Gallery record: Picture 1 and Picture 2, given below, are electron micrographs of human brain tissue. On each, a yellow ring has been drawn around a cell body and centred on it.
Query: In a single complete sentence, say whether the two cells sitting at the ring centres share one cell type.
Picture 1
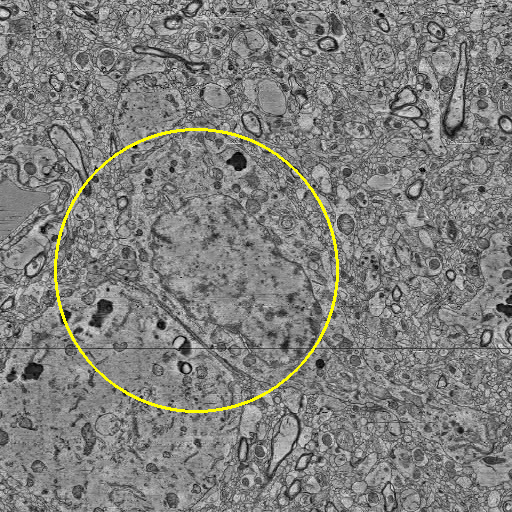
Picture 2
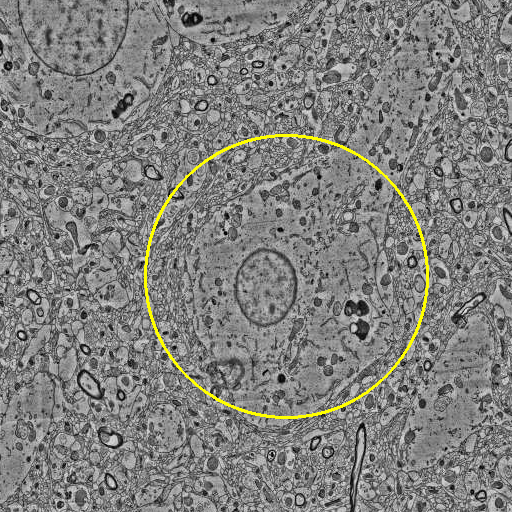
No, in the two pictures the cells at the rings' centres are of two separate types.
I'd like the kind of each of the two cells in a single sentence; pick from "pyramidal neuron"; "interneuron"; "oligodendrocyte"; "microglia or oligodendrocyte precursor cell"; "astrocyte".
The first ring marks an interneuron, and the second ring marks a pyramidal neuron.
